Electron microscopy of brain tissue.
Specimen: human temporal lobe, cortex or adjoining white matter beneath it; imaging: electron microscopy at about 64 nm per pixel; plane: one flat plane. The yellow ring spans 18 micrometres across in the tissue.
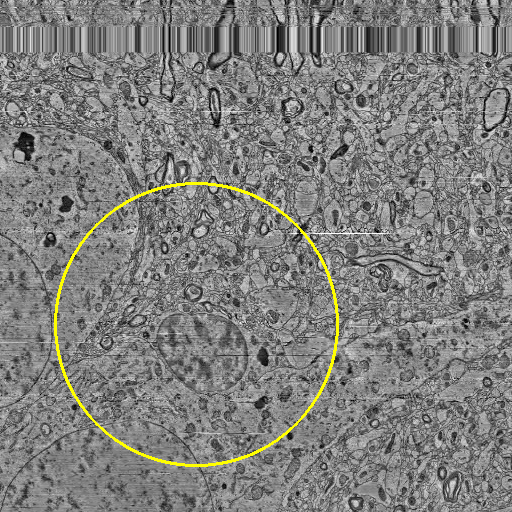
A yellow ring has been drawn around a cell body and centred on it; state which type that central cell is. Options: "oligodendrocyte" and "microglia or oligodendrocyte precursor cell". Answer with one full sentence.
The cell at the middle of the yellow ring is an oligodendrocyte in this picture.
